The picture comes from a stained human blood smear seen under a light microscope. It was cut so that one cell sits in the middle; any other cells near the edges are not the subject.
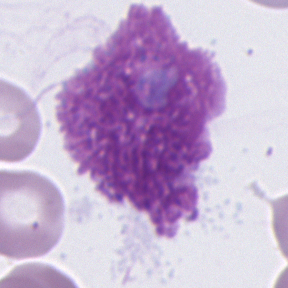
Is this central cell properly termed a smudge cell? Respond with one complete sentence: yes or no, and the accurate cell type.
Yes, the cell that is in the middle is a smudge cell.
